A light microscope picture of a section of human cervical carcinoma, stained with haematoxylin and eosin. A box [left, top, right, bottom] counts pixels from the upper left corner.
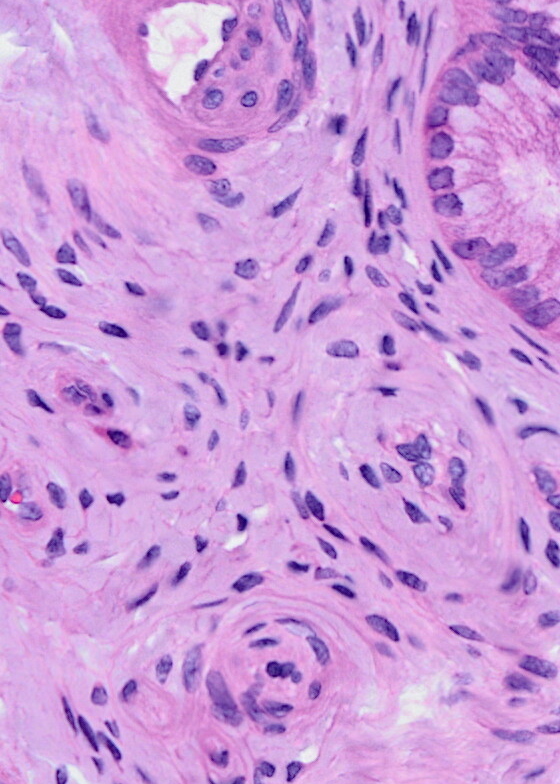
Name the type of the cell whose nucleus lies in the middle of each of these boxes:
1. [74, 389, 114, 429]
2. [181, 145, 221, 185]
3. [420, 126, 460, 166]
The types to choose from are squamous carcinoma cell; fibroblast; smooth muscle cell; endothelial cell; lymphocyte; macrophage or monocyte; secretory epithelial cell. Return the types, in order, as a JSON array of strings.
["endothelial cell", "smooth muscle cell", "secretory epithelial cell"]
